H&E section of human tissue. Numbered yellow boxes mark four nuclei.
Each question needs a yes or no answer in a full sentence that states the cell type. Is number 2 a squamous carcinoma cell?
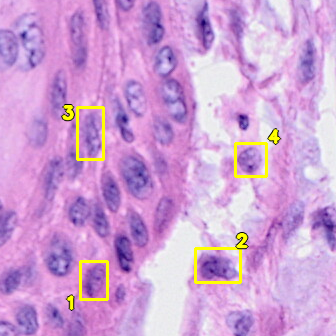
No, cell 2 does not represent a squamous carcinoma cell; it represents a macrophage or monocyte.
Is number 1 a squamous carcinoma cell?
Yes, number 1 corresponds to a squamous carcinoma cell.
